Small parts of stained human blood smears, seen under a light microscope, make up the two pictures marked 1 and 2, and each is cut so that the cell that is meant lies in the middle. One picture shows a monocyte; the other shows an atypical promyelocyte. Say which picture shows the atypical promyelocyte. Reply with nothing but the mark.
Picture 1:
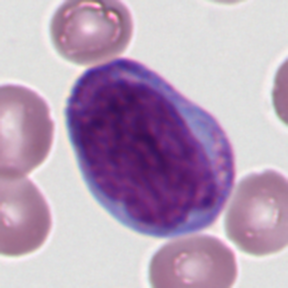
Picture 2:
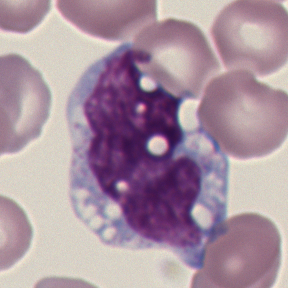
1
